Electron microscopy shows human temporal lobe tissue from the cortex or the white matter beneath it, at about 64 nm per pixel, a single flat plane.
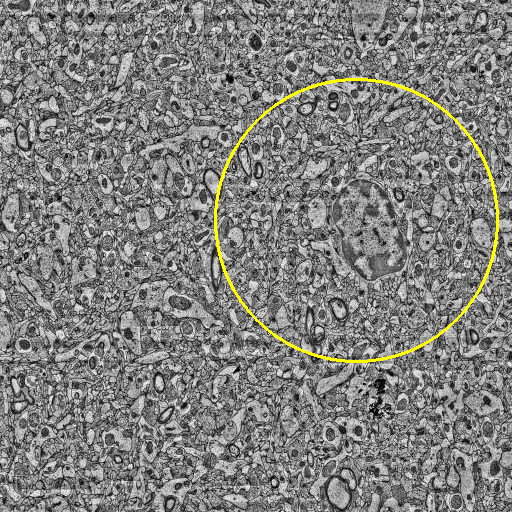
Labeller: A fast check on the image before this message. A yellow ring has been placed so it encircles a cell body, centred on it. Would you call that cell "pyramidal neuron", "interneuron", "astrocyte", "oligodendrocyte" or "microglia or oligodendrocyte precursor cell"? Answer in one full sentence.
In this image, a microglial cell or oligodendrocyte precursor cell is the cell on which the yellow ring is centred.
